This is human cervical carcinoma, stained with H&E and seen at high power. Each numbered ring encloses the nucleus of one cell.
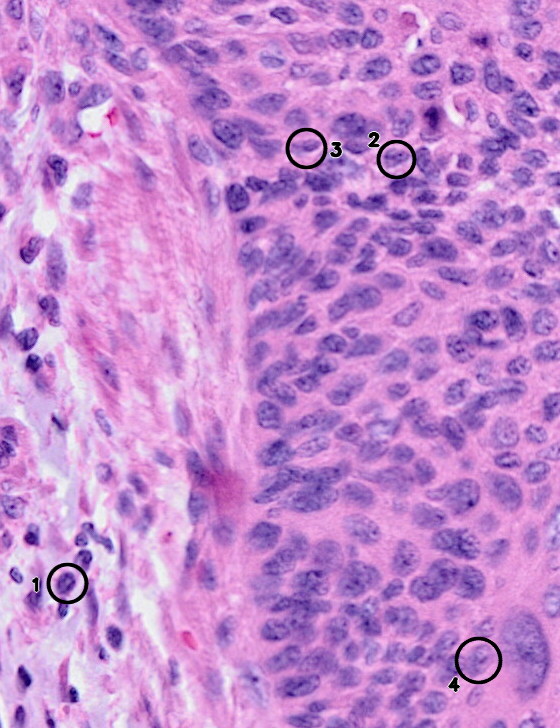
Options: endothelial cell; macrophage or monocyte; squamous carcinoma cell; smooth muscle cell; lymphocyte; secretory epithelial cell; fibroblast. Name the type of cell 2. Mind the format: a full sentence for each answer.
The cell assigned the number 2 is a squamous carcinoma cell.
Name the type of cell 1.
Among the marked nuclei, number 1 belongs to a lymphocyte.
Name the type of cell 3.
The cell numbered 3 represents a squamous carcinoma cell.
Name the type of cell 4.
The numbered cell 4 in this field is a squamous carcinoma cell.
